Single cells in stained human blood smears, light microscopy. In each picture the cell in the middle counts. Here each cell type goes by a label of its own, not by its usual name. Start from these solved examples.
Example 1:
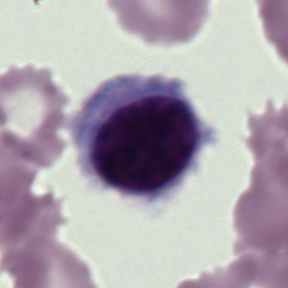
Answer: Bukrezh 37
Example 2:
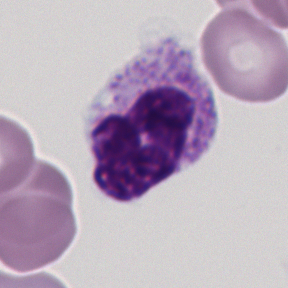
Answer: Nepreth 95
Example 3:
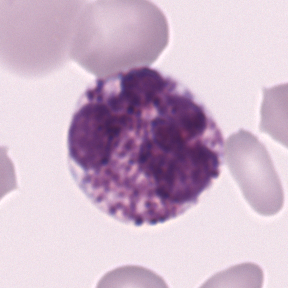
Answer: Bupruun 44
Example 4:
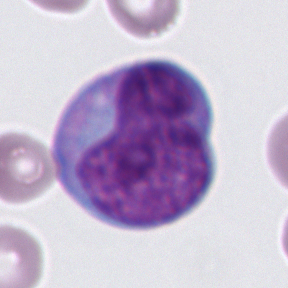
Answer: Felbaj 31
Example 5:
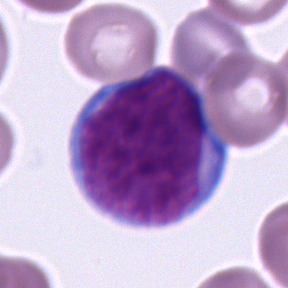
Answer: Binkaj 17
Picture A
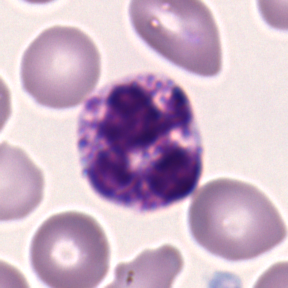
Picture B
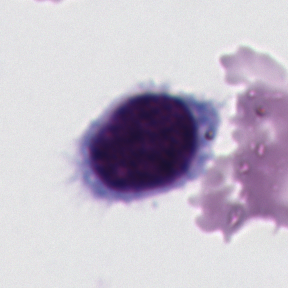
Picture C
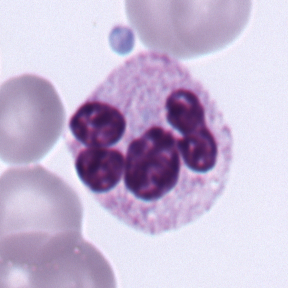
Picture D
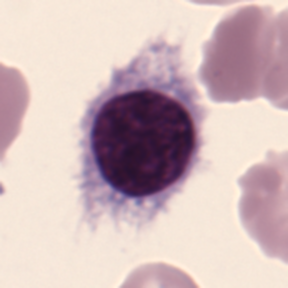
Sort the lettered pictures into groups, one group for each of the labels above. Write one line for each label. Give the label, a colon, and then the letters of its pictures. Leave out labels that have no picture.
Bukrezh 37: B, D
Nepreth 95: C
Bupruun 44: A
